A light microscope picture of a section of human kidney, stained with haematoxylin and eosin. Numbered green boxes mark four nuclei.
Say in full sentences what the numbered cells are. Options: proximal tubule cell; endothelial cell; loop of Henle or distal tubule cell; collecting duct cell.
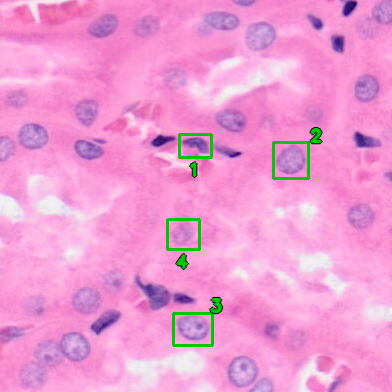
Cell 1 is an endothelial cell, cell 2 is a proximal tubule cell, cell 3 is a proximal tubule cell and cell 4 is a proximal tubule cell.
